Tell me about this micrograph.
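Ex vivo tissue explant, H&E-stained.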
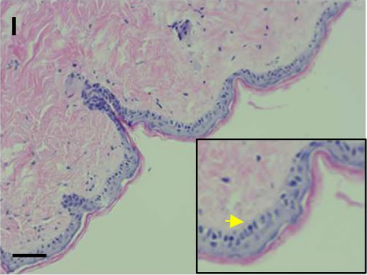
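A section of skin shows a thin epidermis of several layers of cells with dark purple nuclei resting on a pink, fibrous dermis. The epidermis follows an undulating contour, and a thin pink keratinized layer lines its outer surface. The dermis consists of loosely arranged pink collagen fibres with scattered small, dark, elongated nuclei. A small cluster of cells with dark nuclei lies in the dermis near the epidermis.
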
